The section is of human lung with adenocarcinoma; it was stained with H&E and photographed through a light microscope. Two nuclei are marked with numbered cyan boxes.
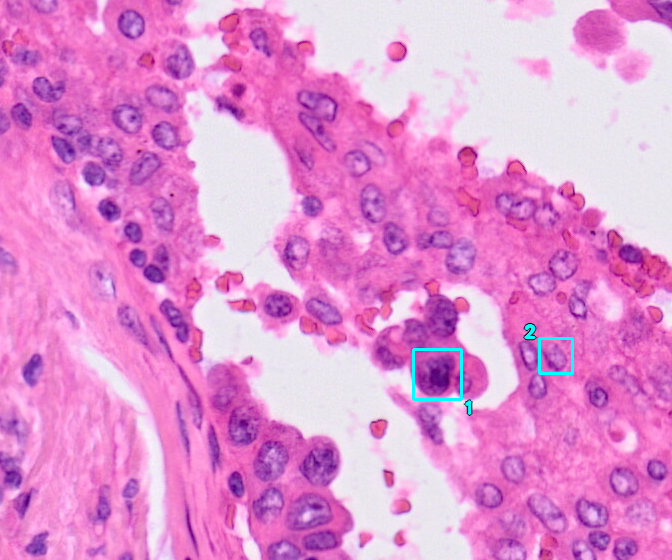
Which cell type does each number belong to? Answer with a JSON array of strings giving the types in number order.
["carcinoma cell", "macrophage or monocyte"]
